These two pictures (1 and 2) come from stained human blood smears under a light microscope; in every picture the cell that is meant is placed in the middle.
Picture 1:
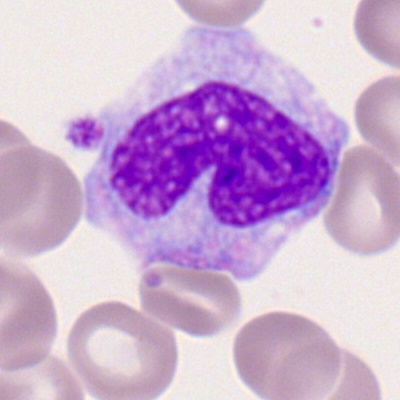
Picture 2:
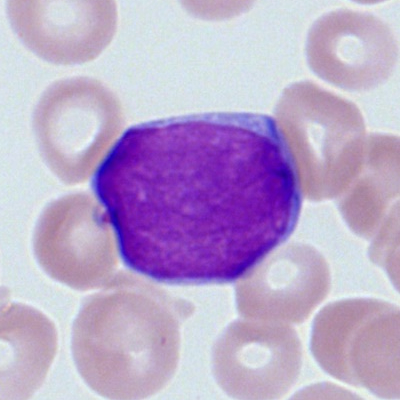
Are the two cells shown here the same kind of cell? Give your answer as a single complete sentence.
No, they differ: the cell is a monocyte in picture 1 and a myeloblast in picture 2.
